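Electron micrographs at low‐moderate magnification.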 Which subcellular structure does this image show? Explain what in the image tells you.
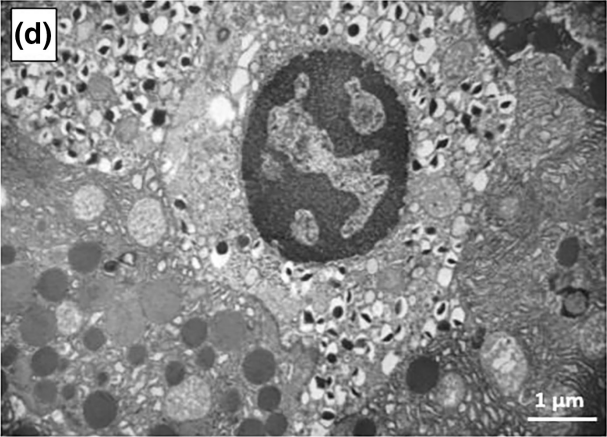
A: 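Many small granules each show a dark dense core inside a clear white halo. These granules fill the cytoplasm around the oval nucleus. That points to this answer: mature insulin granules.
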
